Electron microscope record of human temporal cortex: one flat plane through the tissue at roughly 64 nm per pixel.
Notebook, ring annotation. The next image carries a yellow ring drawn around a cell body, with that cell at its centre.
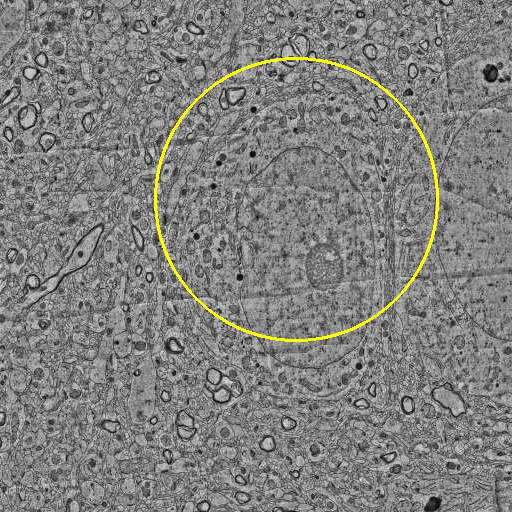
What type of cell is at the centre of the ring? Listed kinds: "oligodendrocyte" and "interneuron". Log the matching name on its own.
interneuron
